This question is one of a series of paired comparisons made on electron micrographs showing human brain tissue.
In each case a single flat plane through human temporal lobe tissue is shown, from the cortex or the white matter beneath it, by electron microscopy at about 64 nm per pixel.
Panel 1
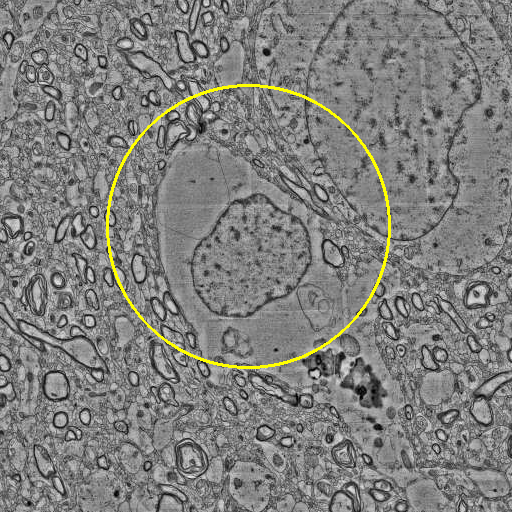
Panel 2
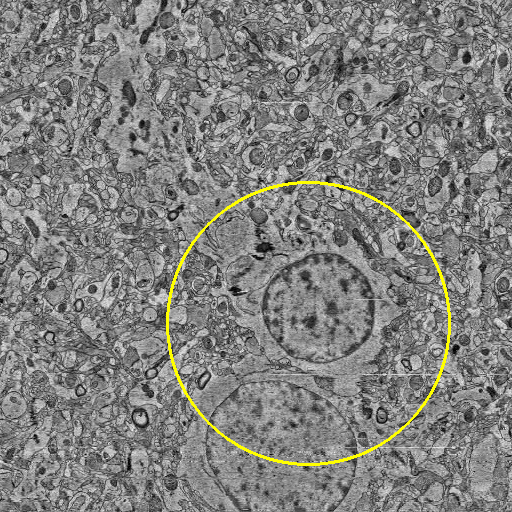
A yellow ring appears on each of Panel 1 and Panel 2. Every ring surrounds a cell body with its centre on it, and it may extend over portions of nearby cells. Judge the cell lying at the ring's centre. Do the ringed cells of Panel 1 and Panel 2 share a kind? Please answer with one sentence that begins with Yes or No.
Yes, the ring-centre cell in Panel 1 and the one in Panel 2 are of one kind.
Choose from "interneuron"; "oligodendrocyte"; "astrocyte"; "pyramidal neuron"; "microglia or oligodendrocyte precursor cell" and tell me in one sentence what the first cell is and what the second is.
In each of the two pictures, the ringed cell is an astrocyte.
